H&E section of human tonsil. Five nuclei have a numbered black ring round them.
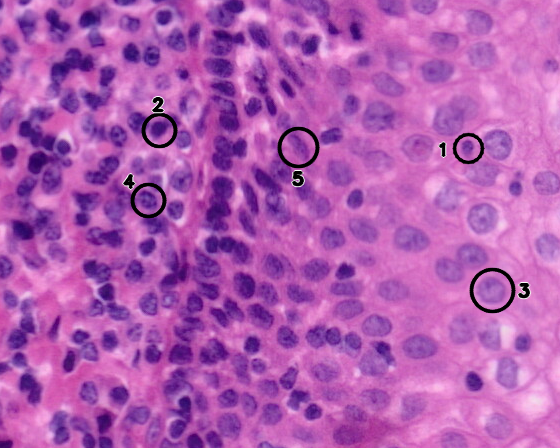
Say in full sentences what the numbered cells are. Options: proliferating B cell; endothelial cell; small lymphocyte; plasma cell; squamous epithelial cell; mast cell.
Cells 1, 3 and 5 are squamous epithelial cells. Cells 2 and 4 are plasma cells.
